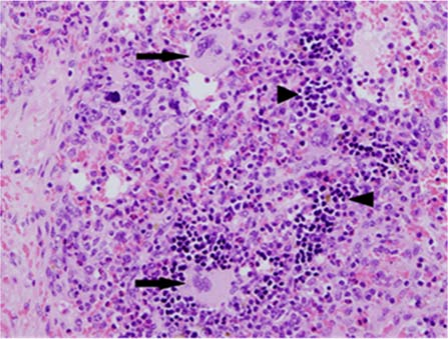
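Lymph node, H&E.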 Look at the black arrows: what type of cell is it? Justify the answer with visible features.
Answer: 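The arrows point to very large cells, much larger than the surrounding cells. These cells have abundant pale pink cytoplasm. Their nuclei are lobulated and clumped.
Answer: megakaryocytes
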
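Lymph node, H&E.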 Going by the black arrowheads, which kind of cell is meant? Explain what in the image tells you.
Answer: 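The arrowheads point to clusters of small cells. These cells have small, round, very dark, dense nuclei. The cells lie packed together in tight groups.
Conclusion: nucleated erythroid precursors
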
